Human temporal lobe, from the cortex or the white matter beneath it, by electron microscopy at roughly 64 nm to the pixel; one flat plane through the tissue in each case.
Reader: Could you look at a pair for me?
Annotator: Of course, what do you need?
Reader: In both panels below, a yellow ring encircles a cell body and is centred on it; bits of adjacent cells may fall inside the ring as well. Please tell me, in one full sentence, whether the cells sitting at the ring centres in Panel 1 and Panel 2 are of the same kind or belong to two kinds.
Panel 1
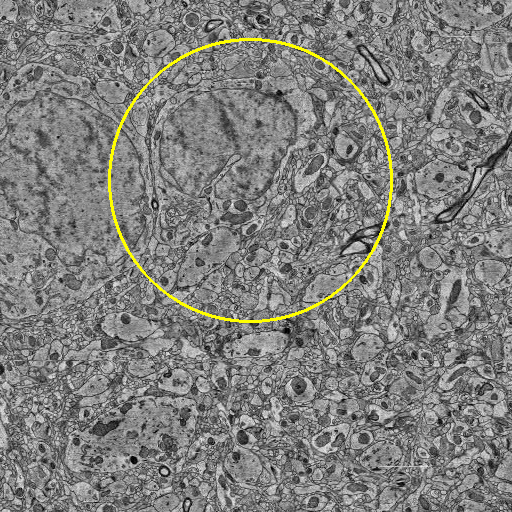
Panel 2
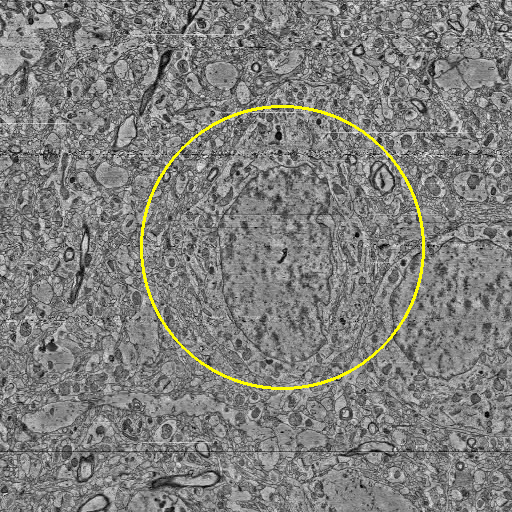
The cell at the ring's centre in Panel 1 and the one in Panel 2 are of the same kind.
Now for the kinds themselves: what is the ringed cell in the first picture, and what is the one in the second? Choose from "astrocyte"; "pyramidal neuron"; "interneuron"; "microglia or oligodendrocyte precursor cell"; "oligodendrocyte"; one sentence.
Each of the two rings is centred on an interneuron.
